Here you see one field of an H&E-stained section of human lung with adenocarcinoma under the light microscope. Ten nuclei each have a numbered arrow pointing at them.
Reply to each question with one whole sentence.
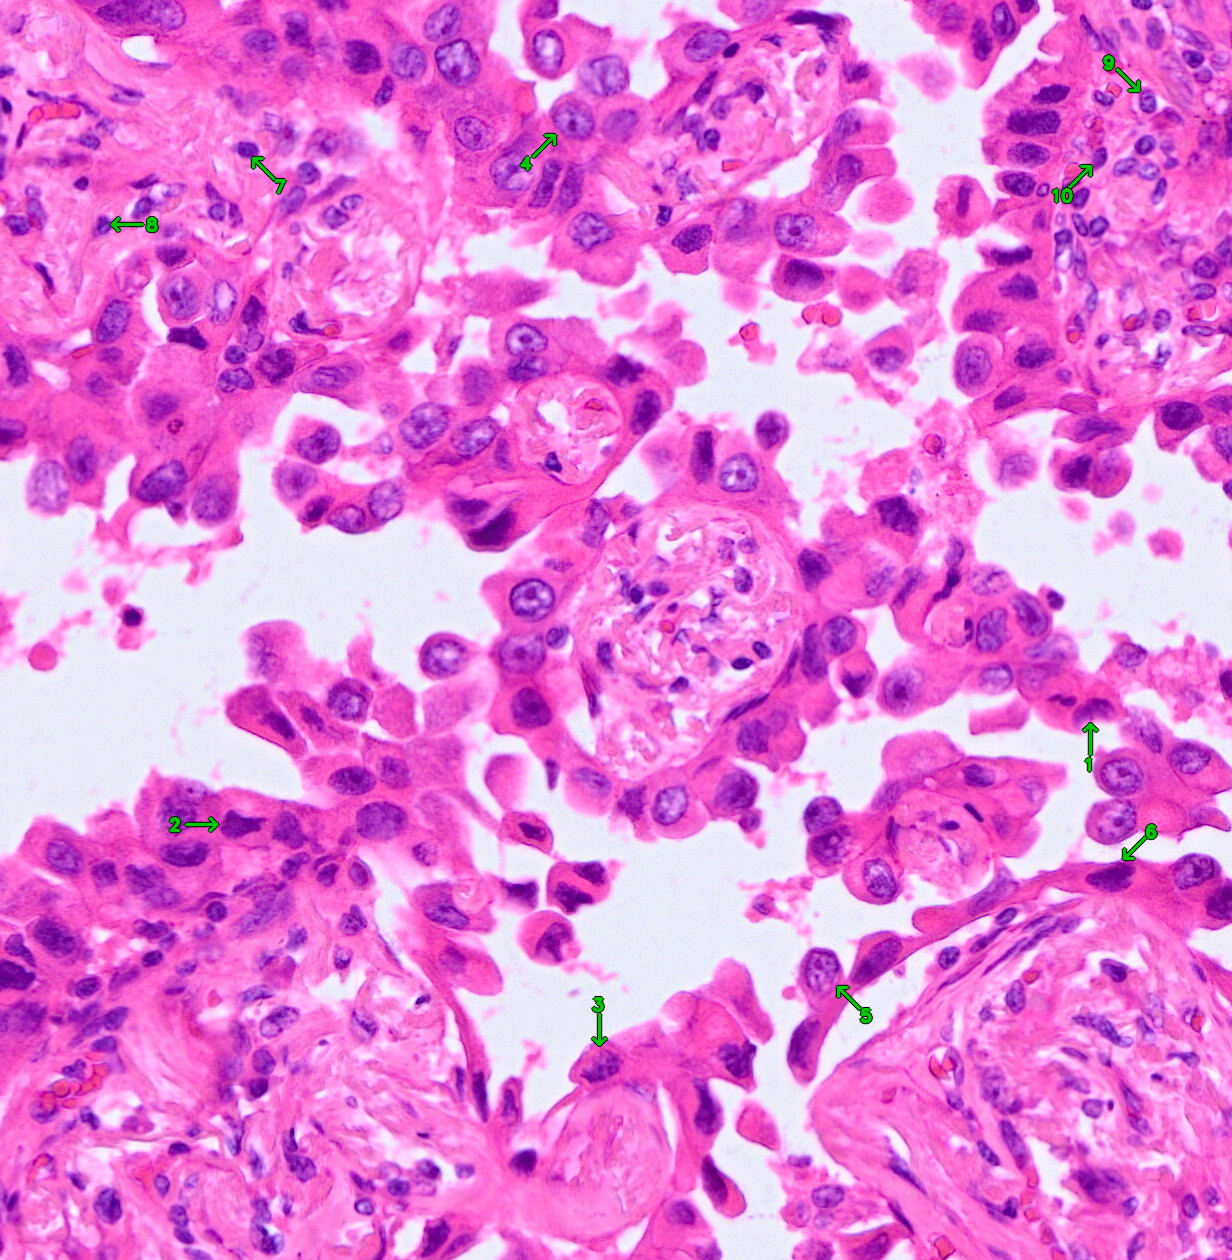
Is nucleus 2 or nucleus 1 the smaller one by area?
Nucleus 1 covers less area, with nucleus 2 about 1.5 times as large.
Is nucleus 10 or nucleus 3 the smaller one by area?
The smaller nucleus is 10, and 3 covers roughly 3 times its area.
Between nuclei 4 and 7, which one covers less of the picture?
Nucleus 7 is the smaller one; nucleus 4 covers about 3 times its area.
